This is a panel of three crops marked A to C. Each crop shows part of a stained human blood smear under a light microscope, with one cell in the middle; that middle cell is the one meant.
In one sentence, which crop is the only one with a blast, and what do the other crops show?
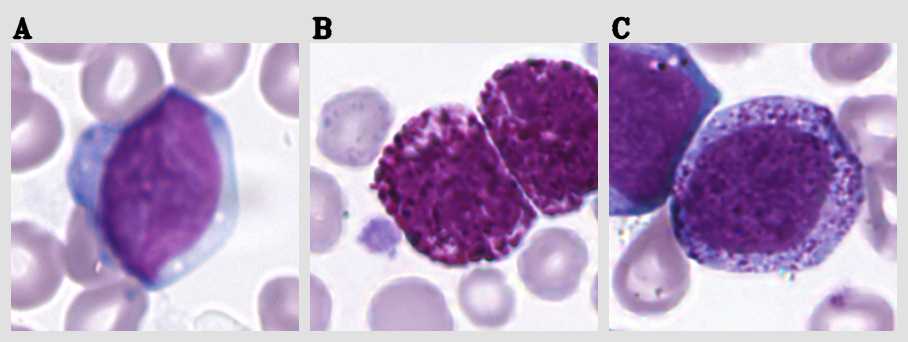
Crop A is identified as a blast, whereas crop B is a basophil and crop C is a promyelocyte.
